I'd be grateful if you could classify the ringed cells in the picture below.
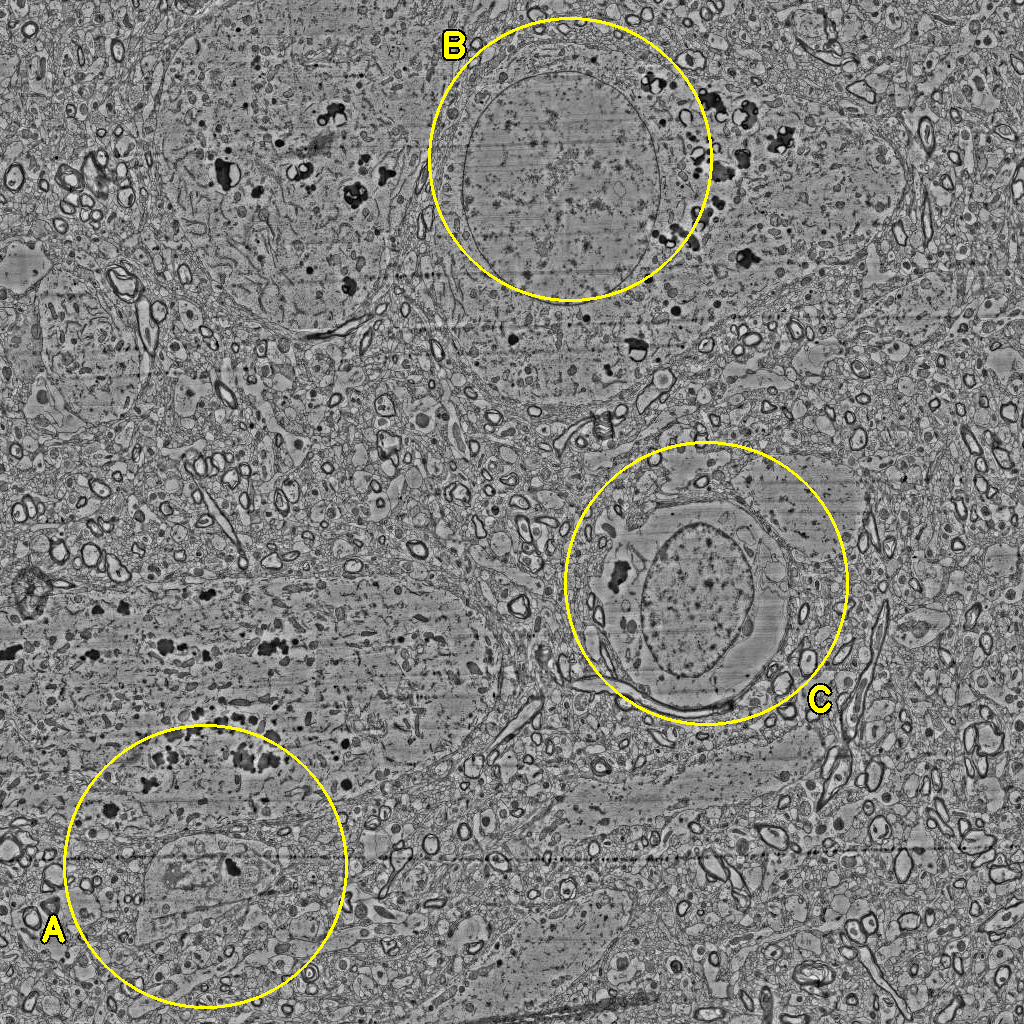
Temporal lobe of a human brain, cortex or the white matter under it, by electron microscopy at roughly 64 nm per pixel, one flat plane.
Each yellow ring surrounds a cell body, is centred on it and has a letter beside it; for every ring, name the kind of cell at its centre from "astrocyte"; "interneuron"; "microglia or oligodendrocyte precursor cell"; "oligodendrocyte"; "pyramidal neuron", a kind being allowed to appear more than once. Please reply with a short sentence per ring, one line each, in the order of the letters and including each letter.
In ring A we have an interneuron.
In ring B we have a pyramidal neuron.
In ring C we have an astrocyte.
